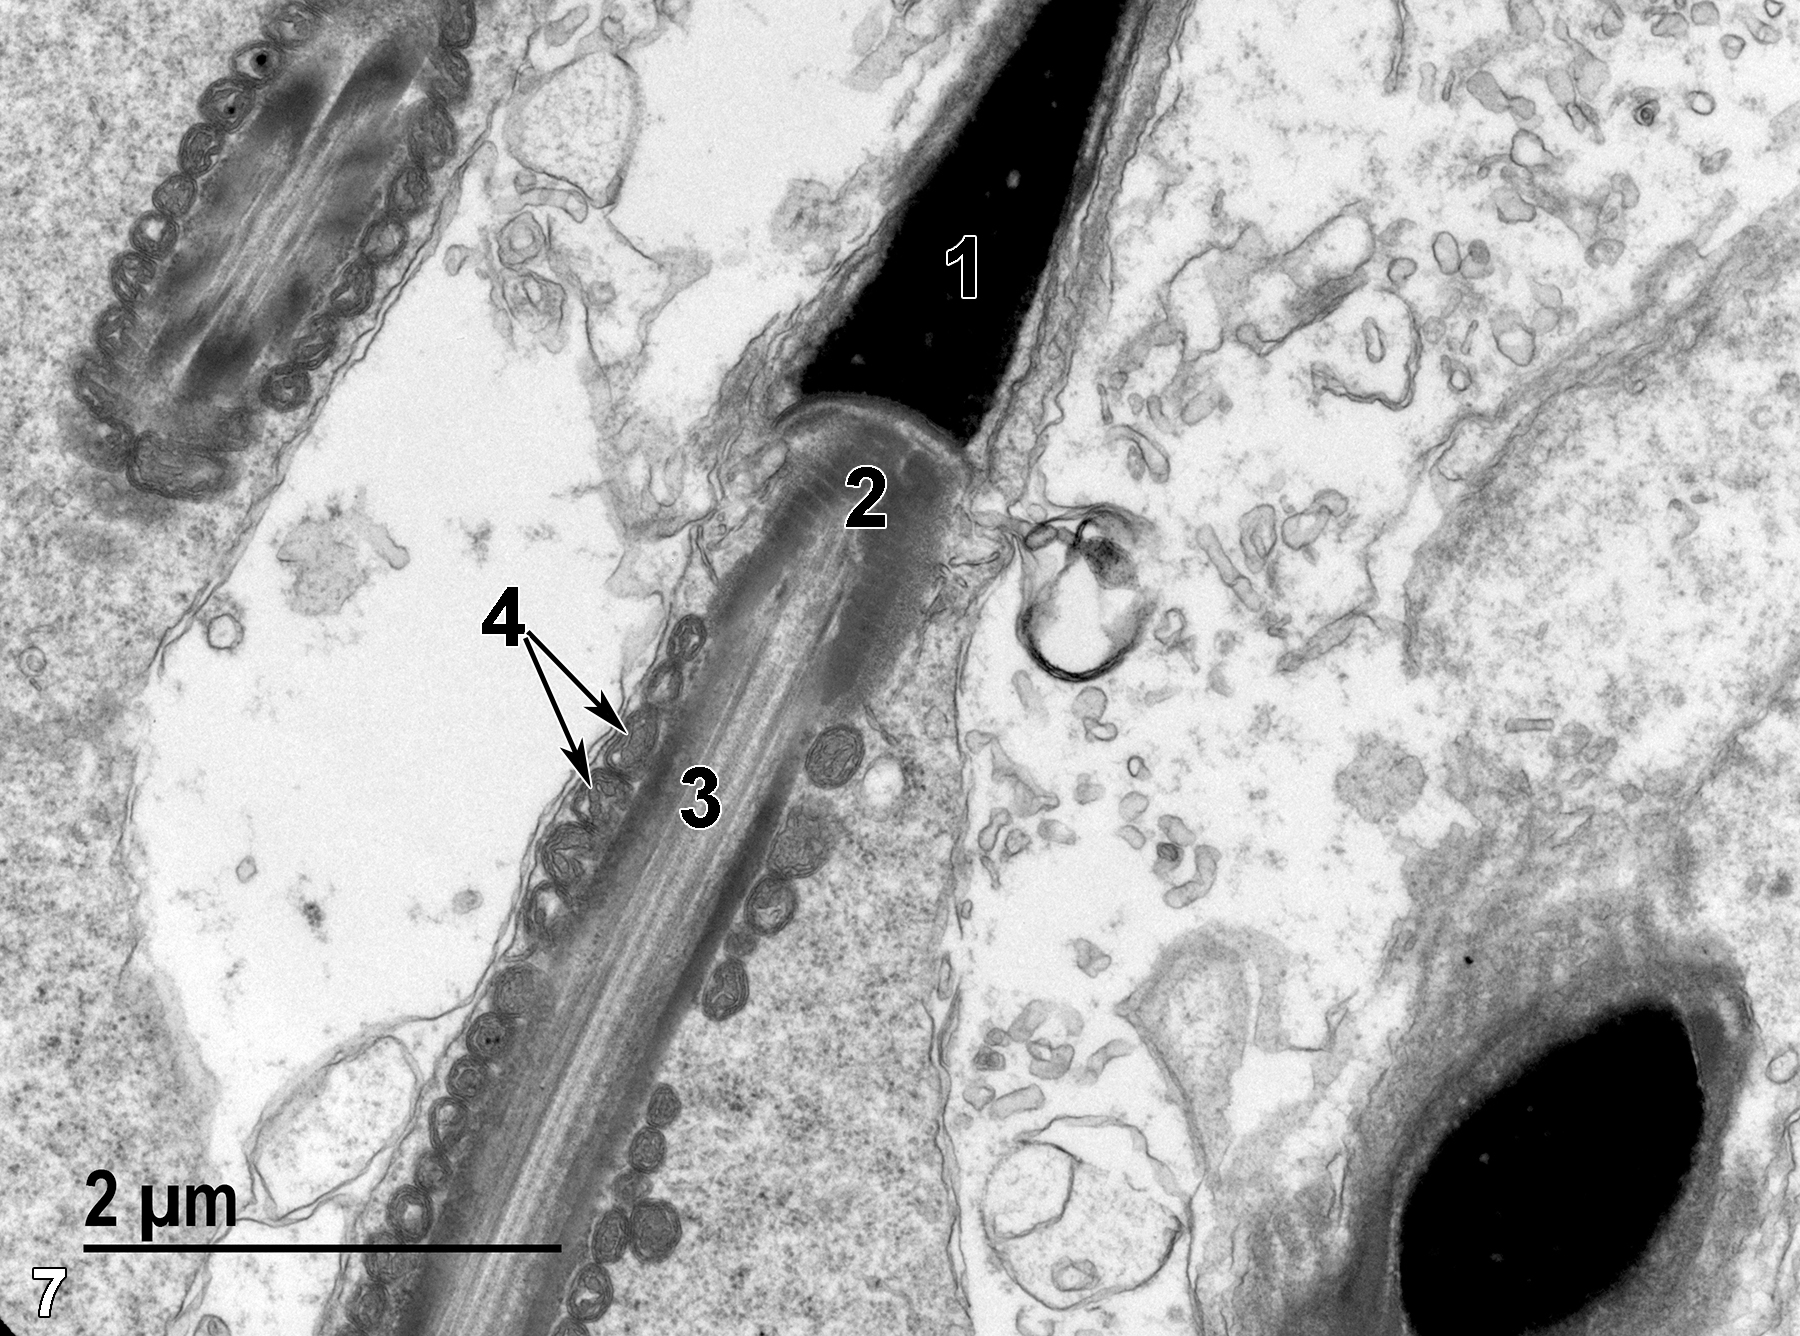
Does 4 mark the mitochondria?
Yes.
